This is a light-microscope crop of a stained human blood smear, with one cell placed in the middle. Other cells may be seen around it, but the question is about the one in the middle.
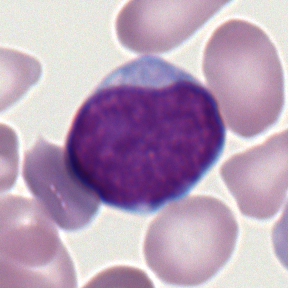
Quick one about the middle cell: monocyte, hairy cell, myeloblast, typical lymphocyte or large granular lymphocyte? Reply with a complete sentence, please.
Centrally within this crop lies a myeloblast.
